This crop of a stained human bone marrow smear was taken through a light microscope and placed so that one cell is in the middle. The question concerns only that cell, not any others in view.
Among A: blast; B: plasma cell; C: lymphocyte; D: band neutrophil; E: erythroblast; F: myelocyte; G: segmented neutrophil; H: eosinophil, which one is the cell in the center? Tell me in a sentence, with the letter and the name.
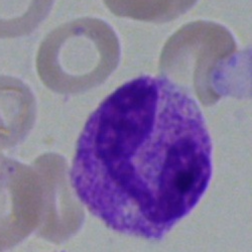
Located in the middle of the crop is a segmented neutrophil, and option G is therefore correct.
